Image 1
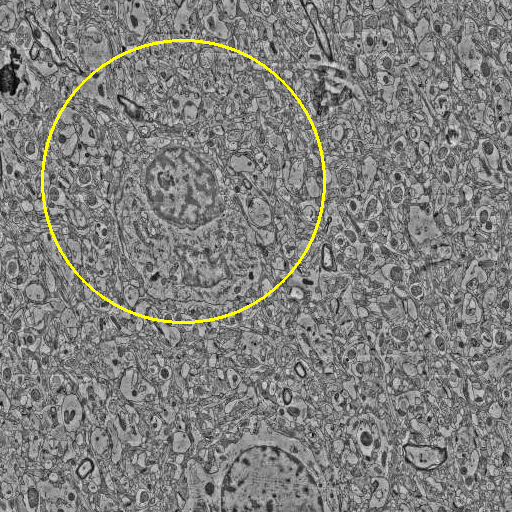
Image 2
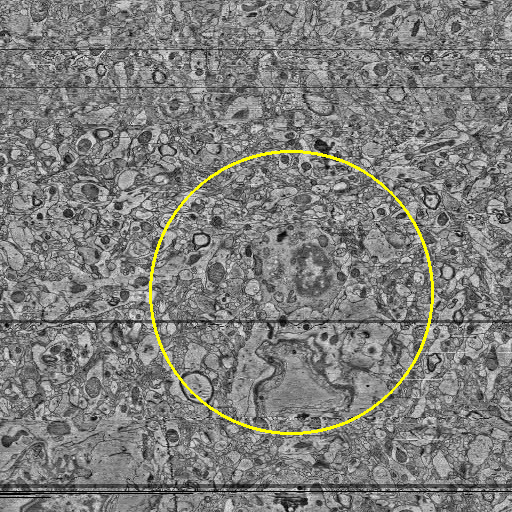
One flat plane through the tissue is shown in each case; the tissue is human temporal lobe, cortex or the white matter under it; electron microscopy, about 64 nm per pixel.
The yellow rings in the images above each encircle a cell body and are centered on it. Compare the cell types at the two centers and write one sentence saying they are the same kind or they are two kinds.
Taken together, the two cells at the ring centers are the same kind.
